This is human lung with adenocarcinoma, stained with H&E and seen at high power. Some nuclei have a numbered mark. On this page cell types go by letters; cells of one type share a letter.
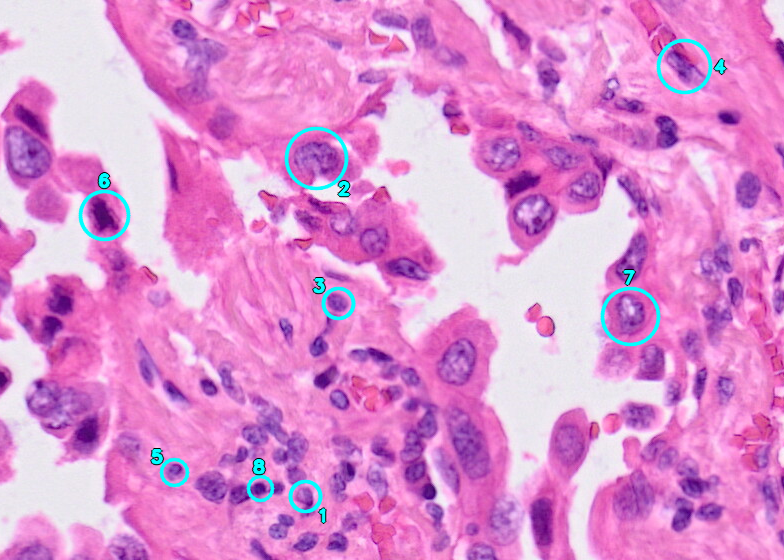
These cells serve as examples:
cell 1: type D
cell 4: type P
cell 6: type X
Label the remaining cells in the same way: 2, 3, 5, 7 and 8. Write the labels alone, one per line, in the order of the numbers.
type X
type D
type D
type X
type D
